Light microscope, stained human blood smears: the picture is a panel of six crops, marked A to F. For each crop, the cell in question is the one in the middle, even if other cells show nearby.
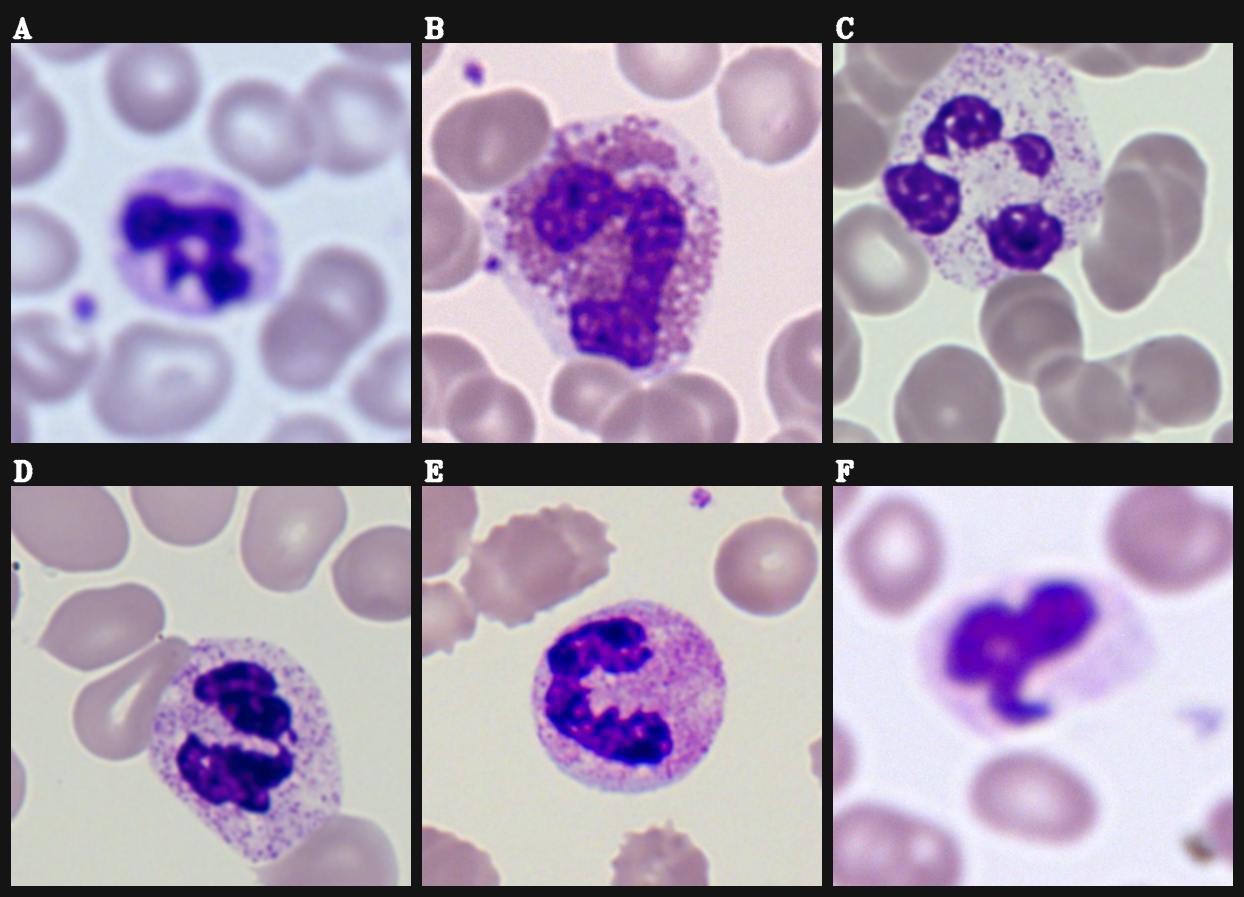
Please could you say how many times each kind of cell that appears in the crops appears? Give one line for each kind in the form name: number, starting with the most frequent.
neutrophil: 5
eosinophil: 1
